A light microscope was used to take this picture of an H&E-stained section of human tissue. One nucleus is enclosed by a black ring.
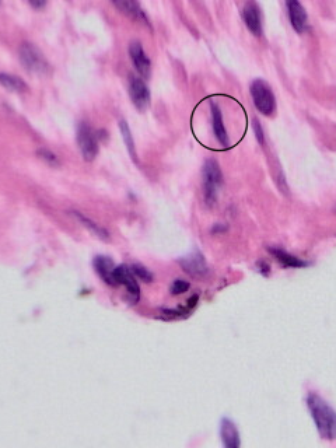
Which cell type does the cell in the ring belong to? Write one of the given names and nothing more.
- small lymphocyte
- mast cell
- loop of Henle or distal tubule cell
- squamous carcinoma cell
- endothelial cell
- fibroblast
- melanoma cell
fibroblast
